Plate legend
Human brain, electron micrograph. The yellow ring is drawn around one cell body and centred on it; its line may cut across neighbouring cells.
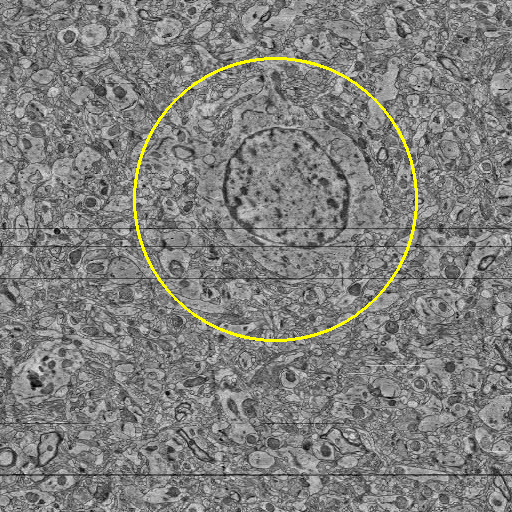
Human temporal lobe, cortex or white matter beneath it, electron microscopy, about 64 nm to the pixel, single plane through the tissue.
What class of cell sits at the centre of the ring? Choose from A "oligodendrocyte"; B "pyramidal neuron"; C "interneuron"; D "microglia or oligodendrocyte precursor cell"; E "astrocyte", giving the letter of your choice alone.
E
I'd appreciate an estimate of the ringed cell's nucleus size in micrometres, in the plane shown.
Roughly 9 by 7 micrometres is the size of the nucleus in this plane.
